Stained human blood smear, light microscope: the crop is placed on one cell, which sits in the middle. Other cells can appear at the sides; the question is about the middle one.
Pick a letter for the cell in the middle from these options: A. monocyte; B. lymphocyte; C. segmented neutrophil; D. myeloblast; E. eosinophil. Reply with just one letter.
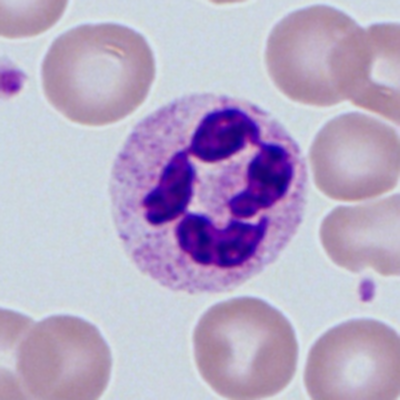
C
